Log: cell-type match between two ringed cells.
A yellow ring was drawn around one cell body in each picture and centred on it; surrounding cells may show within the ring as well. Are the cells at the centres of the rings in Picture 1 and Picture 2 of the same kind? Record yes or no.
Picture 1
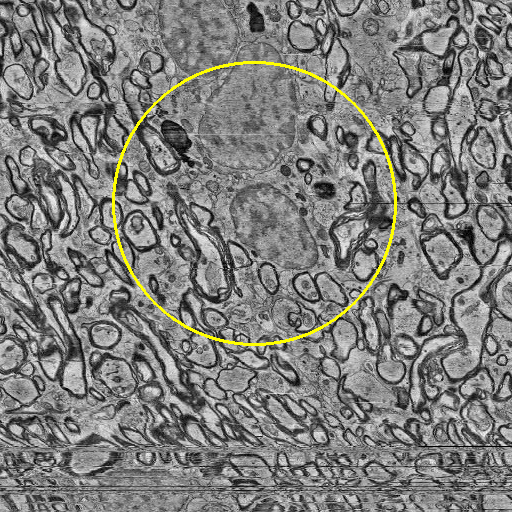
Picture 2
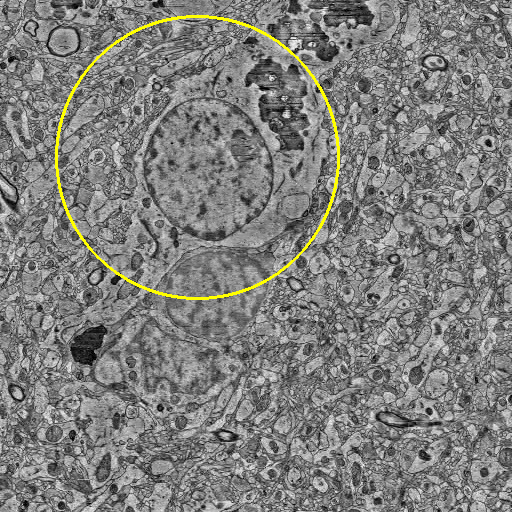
no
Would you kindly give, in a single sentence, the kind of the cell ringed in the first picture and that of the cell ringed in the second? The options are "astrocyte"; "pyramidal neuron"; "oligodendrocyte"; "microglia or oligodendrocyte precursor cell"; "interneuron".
The second cell is an astrocyte, and the first cell is an oligodendrocyte.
